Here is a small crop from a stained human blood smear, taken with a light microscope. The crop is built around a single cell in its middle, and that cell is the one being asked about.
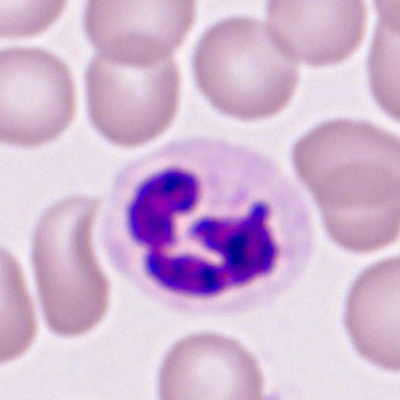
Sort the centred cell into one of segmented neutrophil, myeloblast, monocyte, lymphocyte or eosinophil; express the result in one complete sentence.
At the crop's centre, the cell is a segmented neutrophil.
